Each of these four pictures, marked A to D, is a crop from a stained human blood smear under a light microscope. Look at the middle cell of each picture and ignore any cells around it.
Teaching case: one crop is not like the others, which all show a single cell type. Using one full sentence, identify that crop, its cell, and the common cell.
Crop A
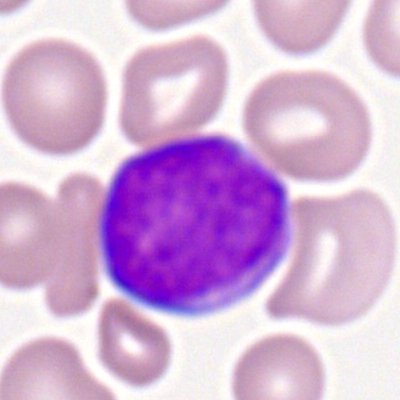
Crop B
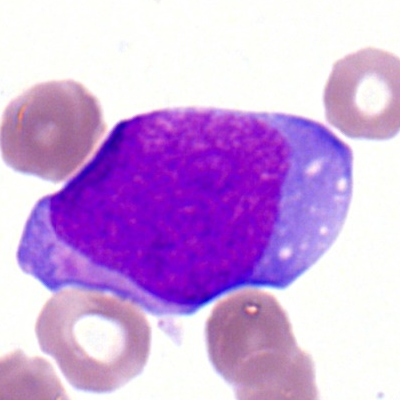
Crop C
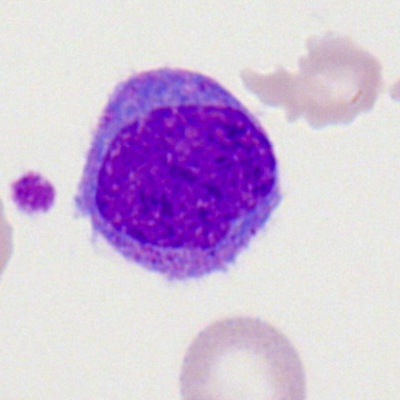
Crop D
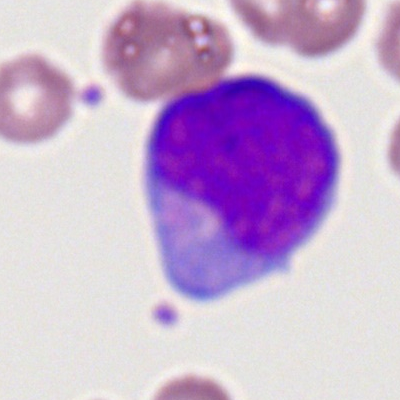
Crop C does not fit, being a monocyte where all the others show myeloblasts.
